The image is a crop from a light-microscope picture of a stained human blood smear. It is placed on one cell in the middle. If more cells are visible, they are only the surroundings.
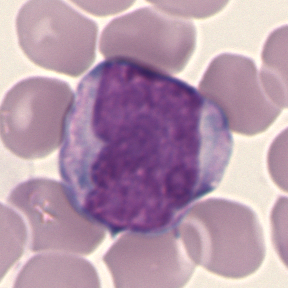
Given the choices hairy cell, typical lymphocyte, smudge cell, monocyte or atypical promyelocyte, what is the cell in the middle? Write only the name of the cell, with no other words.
atypical promyelocyte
